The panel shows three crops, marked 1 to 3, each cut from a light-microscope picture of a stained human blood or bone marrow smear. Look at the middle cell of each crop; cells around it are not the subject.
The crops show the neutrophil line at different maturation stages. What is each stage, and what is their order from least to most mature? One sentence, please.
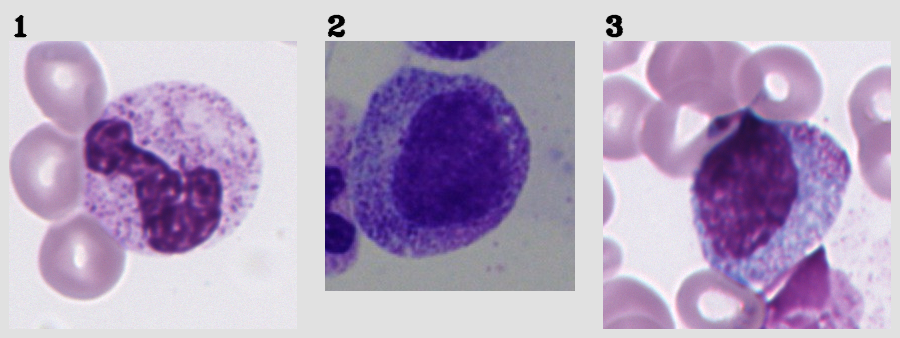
The crops, when placed from least to most mature, read crop 3 (a promyelocyte), crop 2 (a myelocyte) and crop 1 (a segmented neutrophil).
